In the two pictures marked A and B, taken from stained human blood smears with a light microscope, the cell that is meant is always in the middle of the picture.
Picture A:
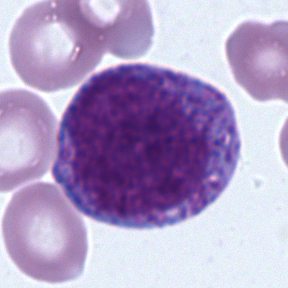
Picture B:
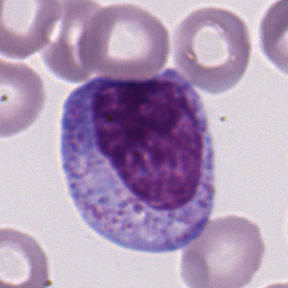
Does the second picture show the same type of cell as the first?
yes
